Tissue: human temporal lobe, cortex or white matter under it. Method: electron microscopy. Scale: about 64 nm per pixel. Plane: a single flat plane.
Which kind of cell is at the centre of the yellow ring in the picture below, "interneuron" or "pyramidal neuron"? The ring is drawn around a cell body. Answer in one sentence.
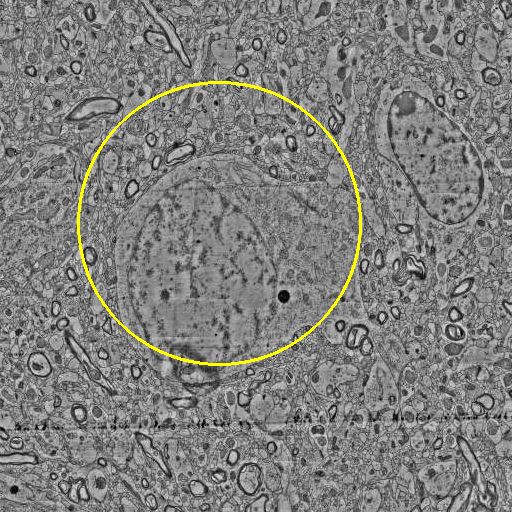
The ring's central cell is an interneuron.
